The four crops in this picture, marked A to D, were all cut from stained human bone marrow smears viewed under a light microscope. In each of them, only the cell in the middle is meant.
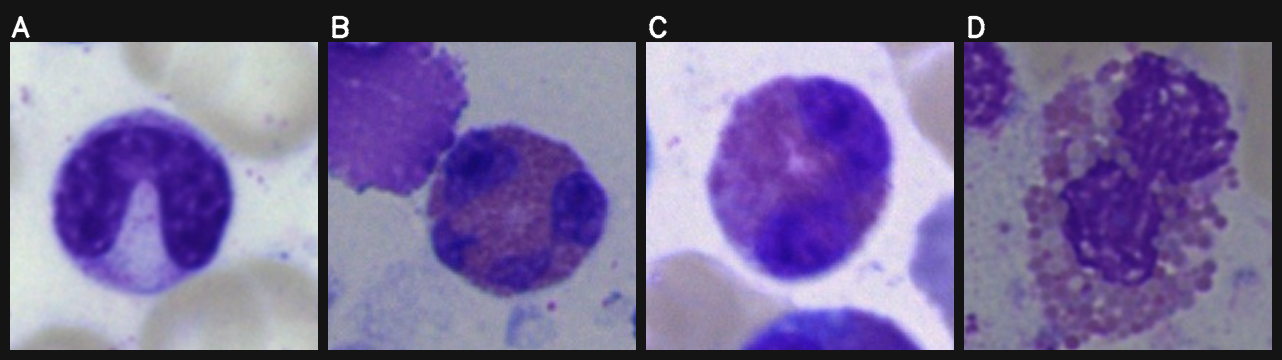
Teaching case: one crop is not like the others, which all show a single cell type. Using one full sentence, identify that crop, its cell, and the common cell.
Unlike the other crops, which all show eosinophils, crop A is a band neutrophil.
